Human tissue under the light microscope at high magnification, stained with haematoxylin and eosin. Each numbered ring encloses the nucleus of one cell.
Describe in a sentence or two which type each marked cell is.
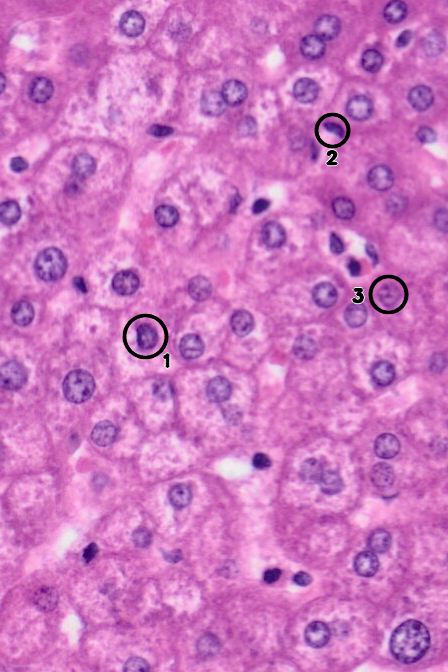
Cells 1 and 3 are hepatocytes. Cell 2 is an endothelial cell.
